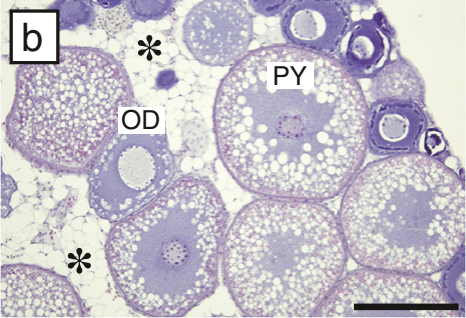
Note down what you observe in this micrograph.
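This is fish ovary with oocytes of several sizes: the larger ones have cytoplasm filled with small clear vacuoles like oil droplets around a central nucleus, some with dark nucleoli lining its edge. Smaller oocytes have denser purple cytoplasm, and between the oocytes lie clusters of empty-looking, thin-walled adipose cells.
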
